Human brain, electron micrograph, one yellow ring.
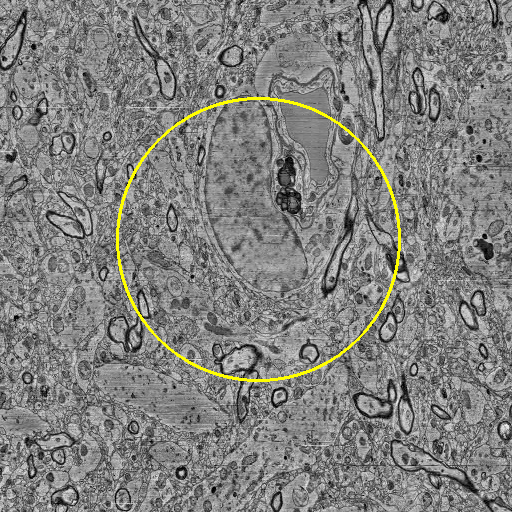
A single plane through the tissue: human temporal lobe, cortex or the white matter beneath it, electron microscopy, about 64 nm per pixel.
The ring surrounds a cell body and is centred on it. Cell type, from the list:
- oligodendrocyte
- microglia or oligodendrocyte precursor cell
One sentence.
The yellow ring circles a microglial cell or oligodendrocyte precursor cell.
